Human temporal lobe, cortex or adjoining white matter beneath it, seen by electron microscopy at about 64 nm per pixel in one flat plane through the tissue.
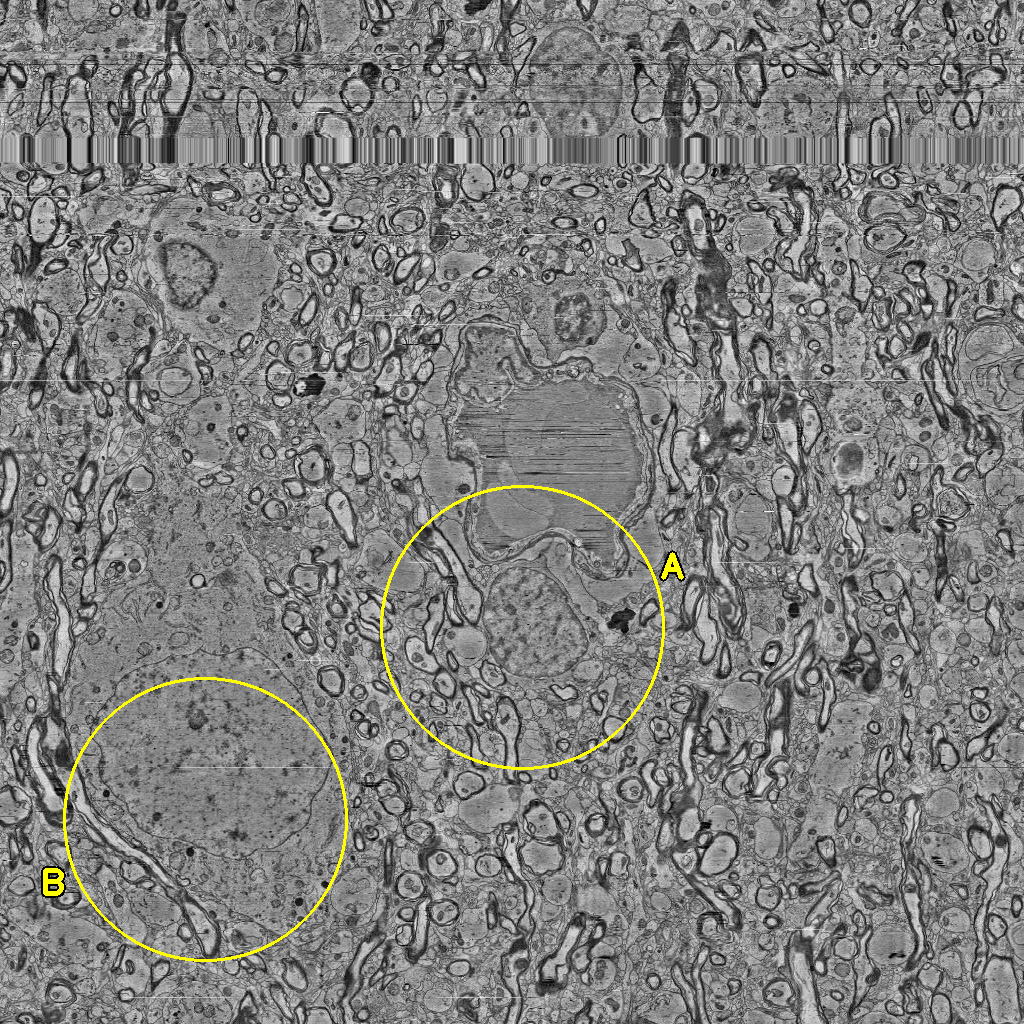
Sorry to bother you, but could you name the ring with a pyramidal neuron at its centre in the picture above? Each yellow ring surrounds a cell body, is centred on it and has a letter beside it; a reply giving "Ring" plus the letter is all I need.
Ring B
